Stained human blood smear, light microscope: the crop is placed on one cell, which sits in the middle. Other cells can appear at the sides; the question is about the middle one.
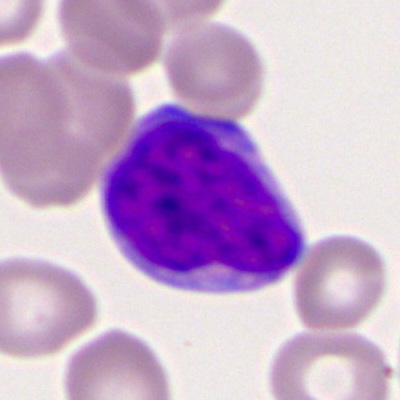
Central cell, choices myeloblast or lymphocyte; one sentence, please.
The cell sitting right in the middle is a myeloblast.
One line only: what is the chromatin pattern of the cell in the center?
The nucleus shows chromatin that is coarsely clumped.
